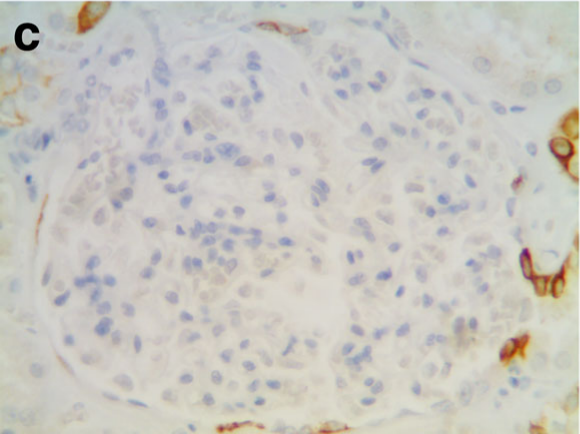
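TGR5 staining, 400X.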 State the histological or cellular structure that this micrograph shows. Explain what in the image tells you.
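A large round tuft of densely packed nuclei fills most of the panel. The tuft is surrounded by a thin capsule and a clear space. Tubule cross-sections lie outside the capsule. The answer: glomeruli.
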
